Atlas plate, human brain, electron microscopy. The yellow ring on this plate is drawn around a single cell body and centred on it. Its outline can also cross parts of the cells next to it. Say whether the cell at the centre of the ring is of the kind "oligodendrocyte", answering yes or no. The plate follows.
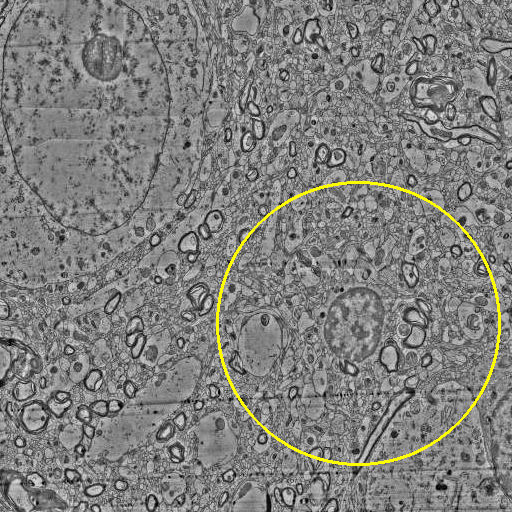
Yes, the cell is of that kind.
